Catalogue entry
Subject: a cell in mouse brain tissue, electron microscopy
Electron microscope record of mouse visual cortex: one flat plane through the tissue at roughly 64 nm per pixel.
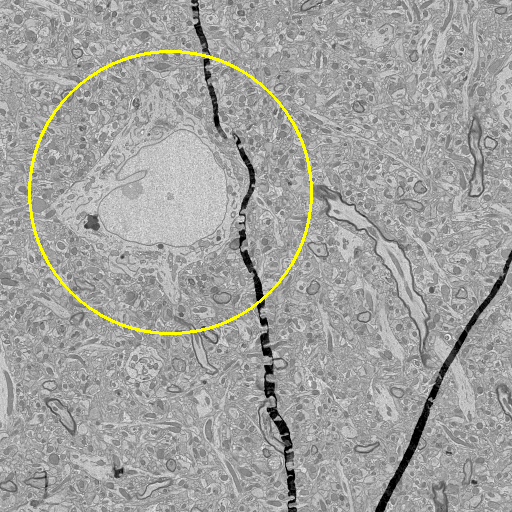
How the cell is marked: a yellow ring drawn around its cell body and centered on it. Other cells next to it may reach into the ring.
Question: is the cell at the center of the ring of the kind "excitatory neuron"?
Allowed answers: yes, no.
yes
